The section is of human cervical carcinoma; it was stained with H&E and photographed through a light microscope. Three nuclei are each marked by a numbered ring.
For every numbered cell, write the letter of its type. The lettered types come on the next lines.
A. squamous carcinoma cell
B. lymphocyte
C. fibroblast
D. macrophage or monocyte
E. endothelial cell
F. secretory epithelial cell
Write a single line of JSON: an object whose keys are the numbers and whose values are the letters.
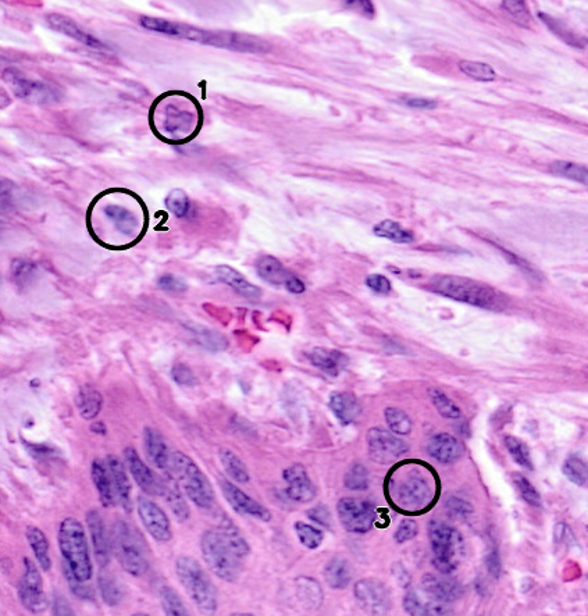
{"1": "D", "2": "B", "3": "A"}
